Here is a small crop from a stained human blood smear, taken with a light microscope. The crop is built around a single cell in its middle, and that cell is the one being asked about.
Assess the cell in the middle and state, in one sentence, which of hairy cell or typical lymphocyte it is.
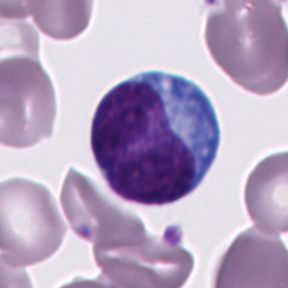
The middle of this crop holds a typical lymphocyte.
